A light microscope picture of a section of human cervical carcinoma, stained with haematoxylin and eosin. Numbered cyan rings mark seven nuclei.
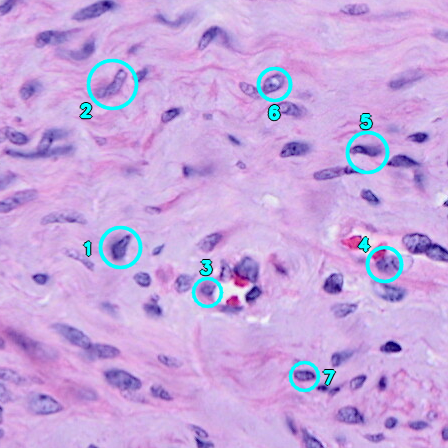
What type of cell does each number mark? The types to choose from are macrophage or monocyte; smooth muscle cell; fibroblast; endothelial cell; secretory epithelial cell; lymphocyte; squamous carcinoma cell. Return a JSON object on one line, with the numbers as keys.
{"1": "fibroblast", "2": "smooth muscle cell", "3": "endothelial cell", "4": "endothelial cell", "5": "fibroblast", "6": "smooth muscle cell", "7": "smooth muscle cell"}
